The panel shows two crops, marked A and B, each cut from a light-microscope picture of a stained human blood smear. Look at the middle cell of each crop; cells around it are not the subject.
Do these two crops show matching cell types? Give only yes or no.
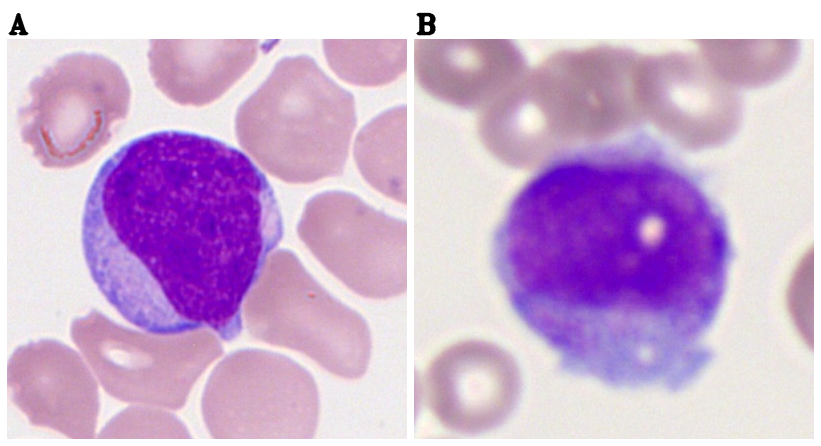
yes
